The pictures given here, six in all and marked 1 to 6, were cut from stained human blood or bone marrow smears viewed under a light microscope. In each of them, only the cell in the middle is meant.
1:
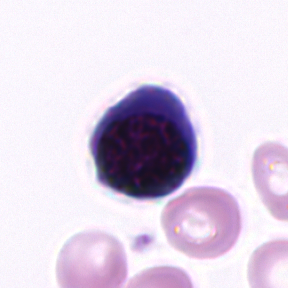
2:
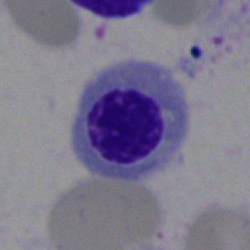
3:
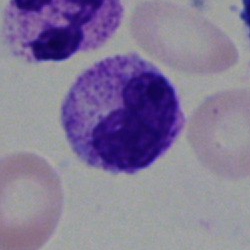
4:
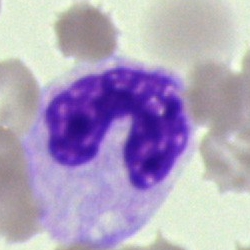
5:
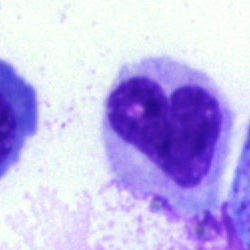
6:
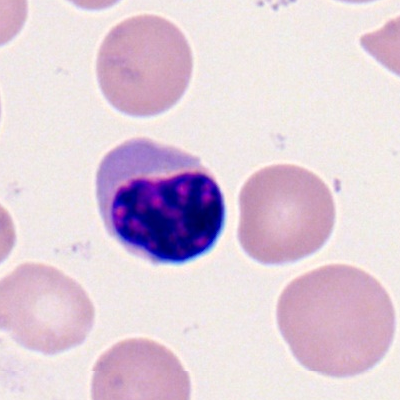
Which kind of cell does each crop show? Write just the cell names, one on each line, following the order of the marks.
erythroblast
erythroblast
band neutrophil
band neutrophil
band neutrophil
erythroblast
